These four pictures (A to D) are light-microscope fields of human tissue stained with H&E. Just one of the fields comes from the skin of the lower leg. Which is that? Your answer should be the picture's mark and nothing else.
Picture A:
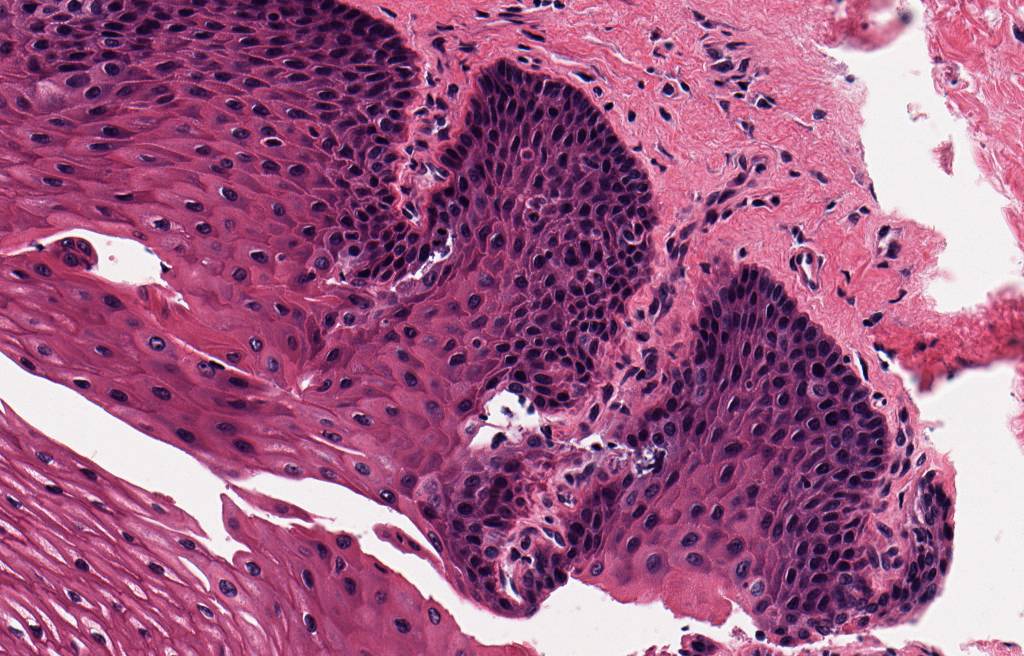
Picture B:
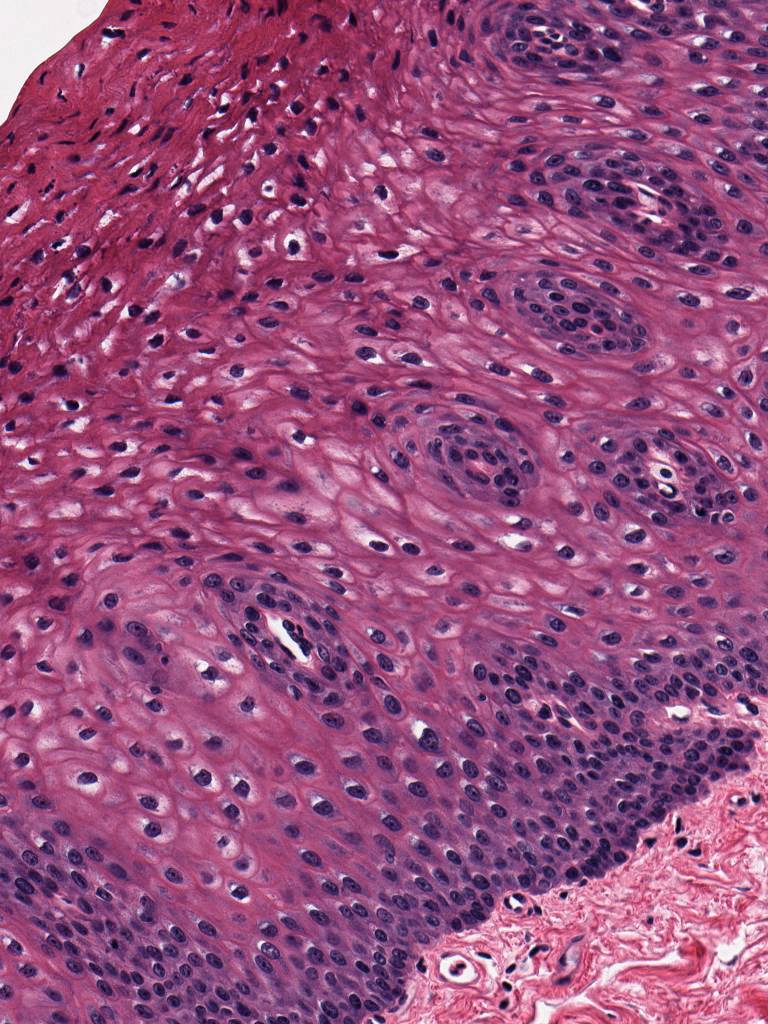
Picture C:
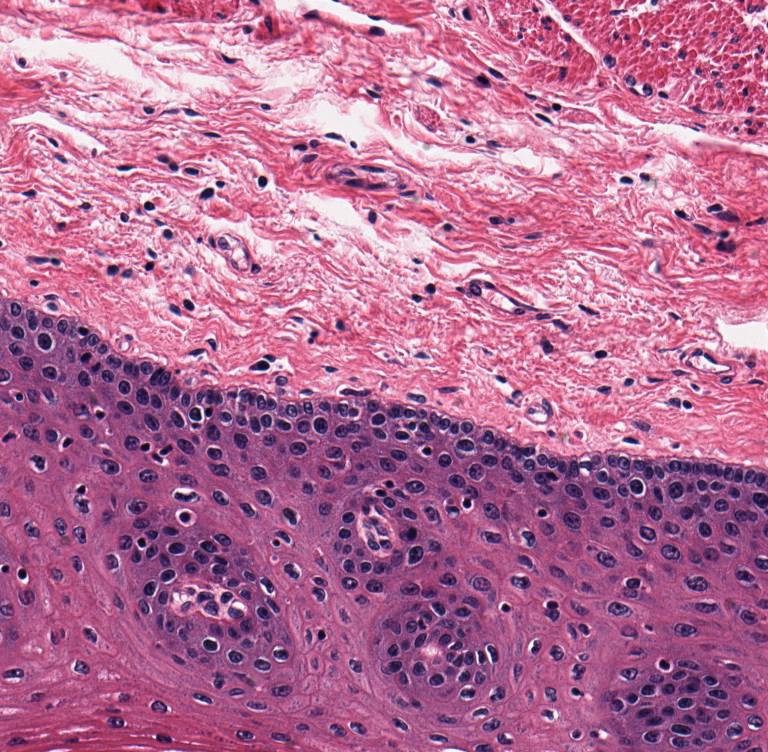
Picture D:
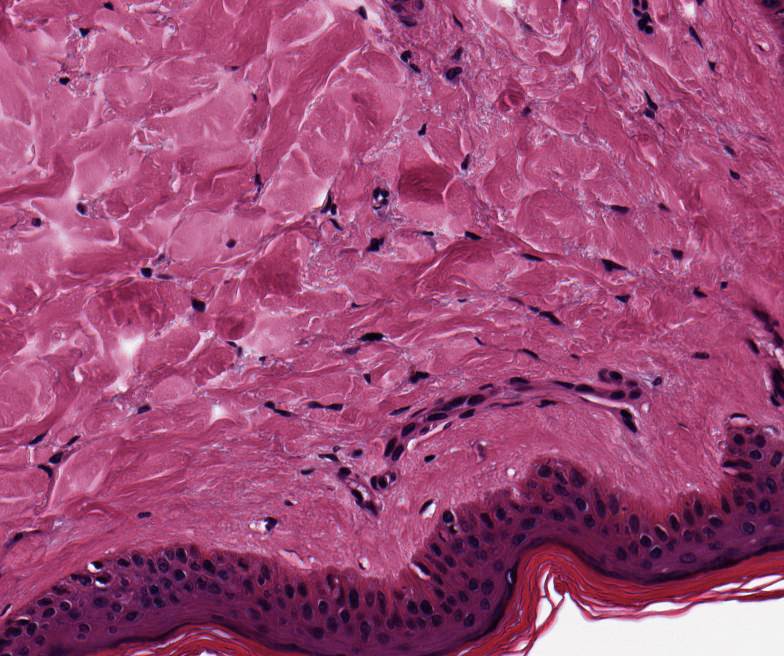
D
